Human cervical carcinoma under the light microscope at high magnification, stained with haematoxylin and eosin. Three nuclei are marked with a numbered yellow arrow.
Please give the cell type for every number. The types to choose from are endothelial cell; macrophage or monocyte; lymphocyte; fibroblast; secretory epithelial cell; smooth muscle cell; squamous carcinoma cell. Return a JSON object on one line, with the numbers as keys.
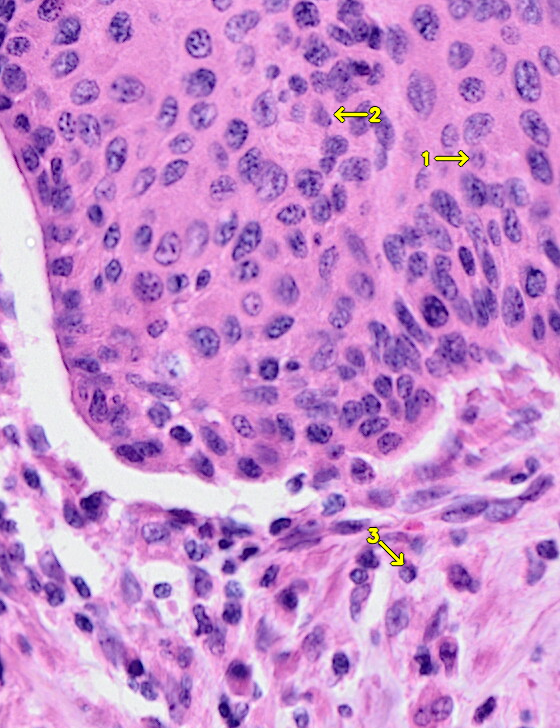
{"1": "squamous carcinoma cell", "2": "squamous carcinoma cell", "3": "lymphocyte"}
